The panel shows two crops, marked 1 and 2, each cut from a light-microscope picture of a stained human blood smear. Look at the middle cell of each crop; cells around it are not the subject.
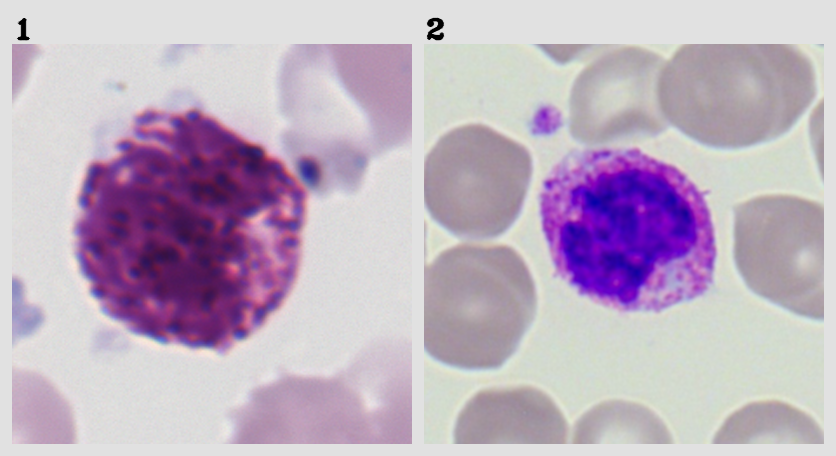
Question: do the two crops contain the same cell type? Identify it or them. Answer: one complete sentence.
Yes, it is basophils that both crops show.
